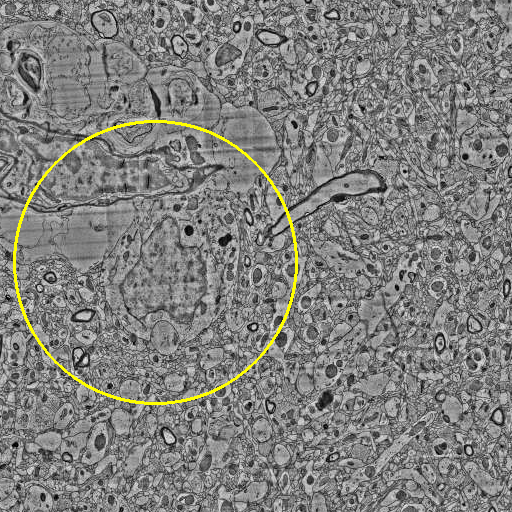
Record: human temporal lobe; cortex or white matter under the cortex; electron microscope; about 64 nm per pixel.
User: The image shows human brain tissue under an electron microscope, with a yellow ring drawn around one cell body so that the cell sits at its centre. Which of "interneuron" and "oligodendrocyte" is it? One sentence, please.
At the centre of the ring sits an interneuron.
